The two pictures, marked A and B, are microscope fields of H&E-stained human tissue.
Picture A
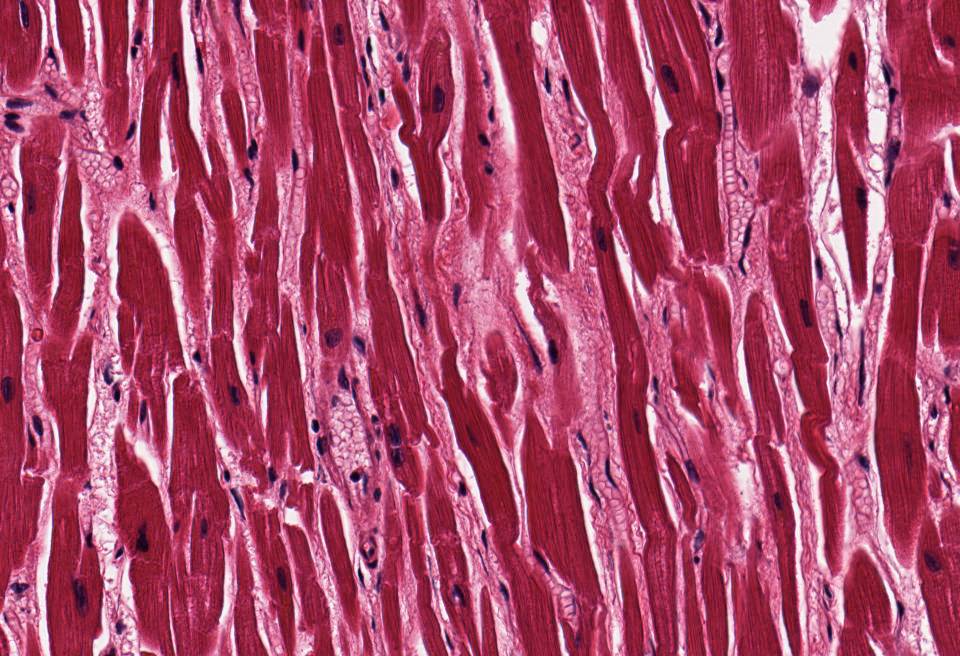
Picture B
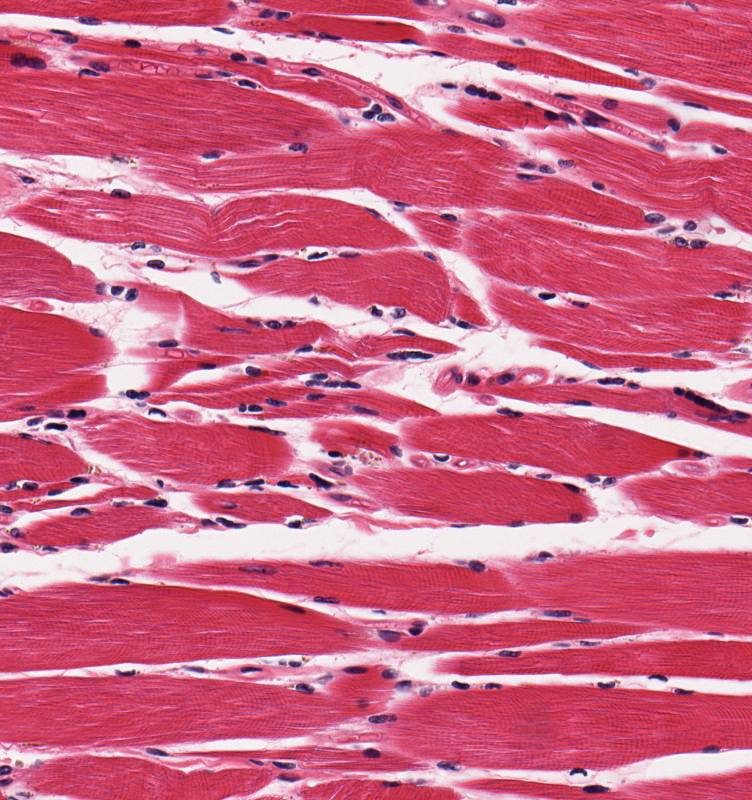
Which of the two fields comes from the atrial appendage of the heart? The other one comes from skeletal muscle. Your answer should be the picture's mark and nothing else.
A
